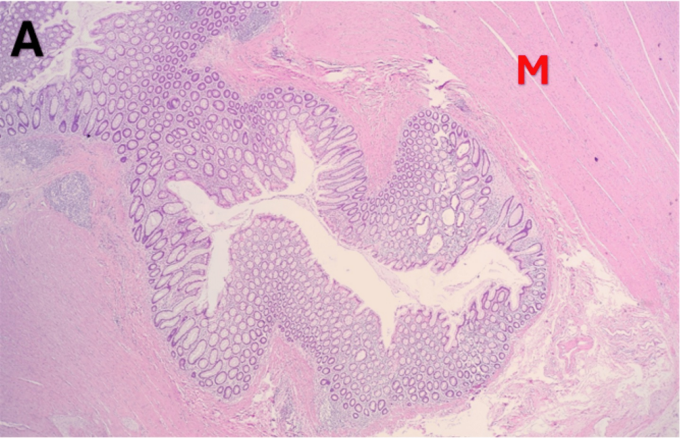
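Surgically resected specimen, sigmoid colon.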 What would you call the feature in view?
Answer: Diverticula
